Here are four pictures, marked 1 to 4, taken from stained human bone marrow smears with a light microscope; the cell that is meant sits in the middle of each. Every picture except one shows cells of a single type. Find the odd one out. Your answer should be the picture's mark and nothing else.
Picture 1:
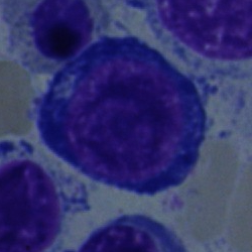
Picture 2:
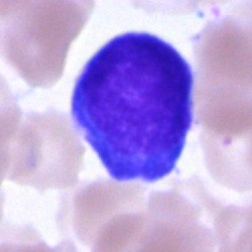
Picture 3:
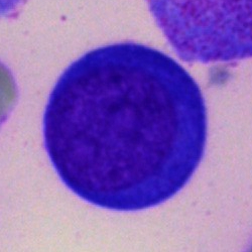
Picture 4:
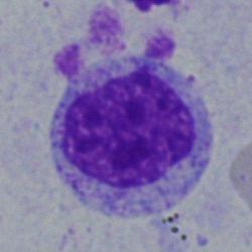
4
